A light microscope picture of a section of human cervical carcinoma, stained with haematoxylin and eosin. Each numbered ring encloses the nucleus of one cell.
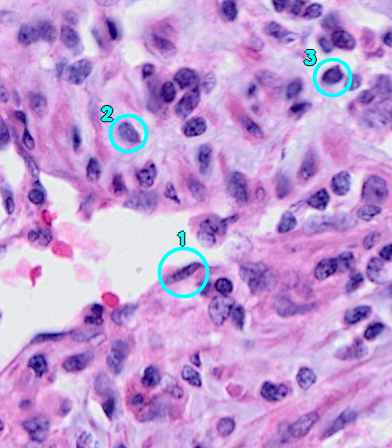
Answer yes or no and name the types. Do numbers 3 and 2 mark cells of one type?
Yes, the cells marked 3 and 2 are both lymphocytes.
